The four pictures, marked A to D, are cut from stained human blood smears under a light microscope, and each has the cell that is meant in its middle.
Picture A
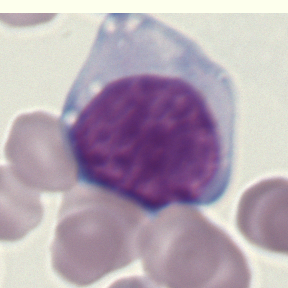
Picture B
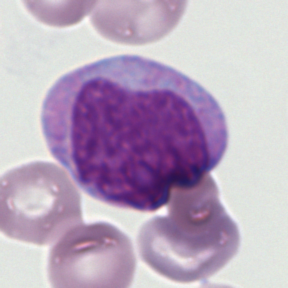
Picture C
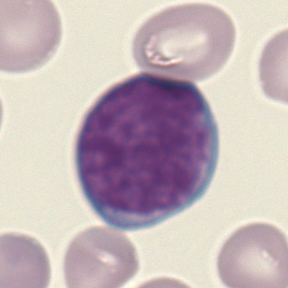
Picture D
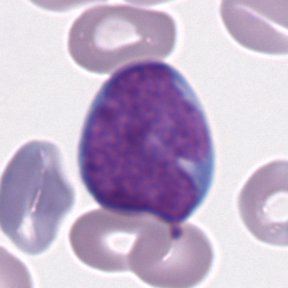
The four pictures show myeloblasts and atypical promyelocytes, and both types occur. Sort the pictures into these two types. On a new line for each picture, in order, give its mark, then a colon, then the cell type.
A: myeloblast
B: atypical promyelocyte
C: myeloblast
D: myeloblast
